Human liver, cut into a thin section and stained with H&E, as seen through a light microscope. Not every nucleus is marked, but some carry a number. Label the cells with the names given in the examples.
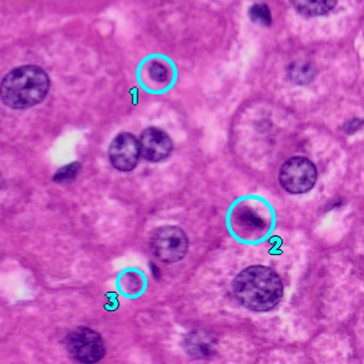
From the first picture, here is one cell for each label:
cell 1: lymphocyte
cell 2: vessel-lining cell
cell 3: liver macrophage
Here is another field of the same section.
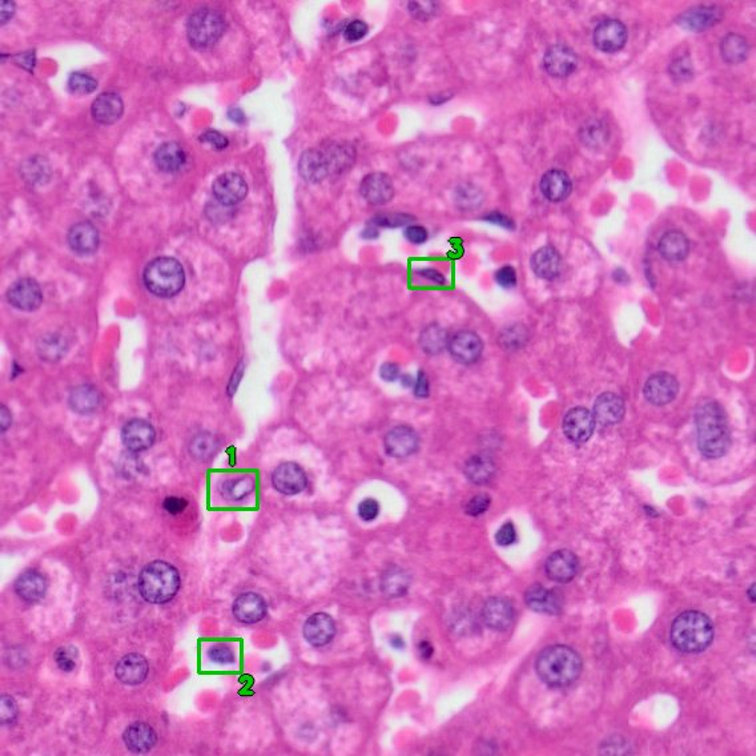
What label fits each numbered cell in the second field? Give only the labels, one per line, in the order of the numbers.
liver macrophage
lymphocyte
vessel-lining cell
